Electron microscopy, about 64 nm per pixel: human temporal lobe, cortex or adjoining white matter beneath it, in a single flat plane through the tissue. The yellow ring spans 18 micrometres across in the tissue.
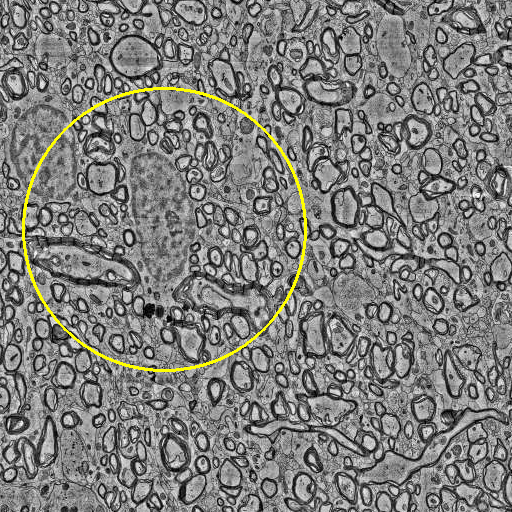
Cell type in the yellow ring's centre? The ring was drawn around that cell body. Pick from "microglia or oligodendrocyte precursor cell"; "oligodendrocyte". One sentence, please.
The ringed cell body is that of an oligodendrocyte.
